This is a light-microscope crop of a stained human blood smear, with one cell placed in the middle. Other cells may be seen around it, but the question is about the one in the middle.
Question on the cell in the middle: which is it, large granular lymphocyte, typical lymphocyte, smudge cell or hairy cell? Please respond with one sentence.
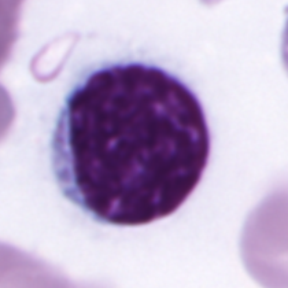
This particular crop is centered on a typical lymphocyte.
